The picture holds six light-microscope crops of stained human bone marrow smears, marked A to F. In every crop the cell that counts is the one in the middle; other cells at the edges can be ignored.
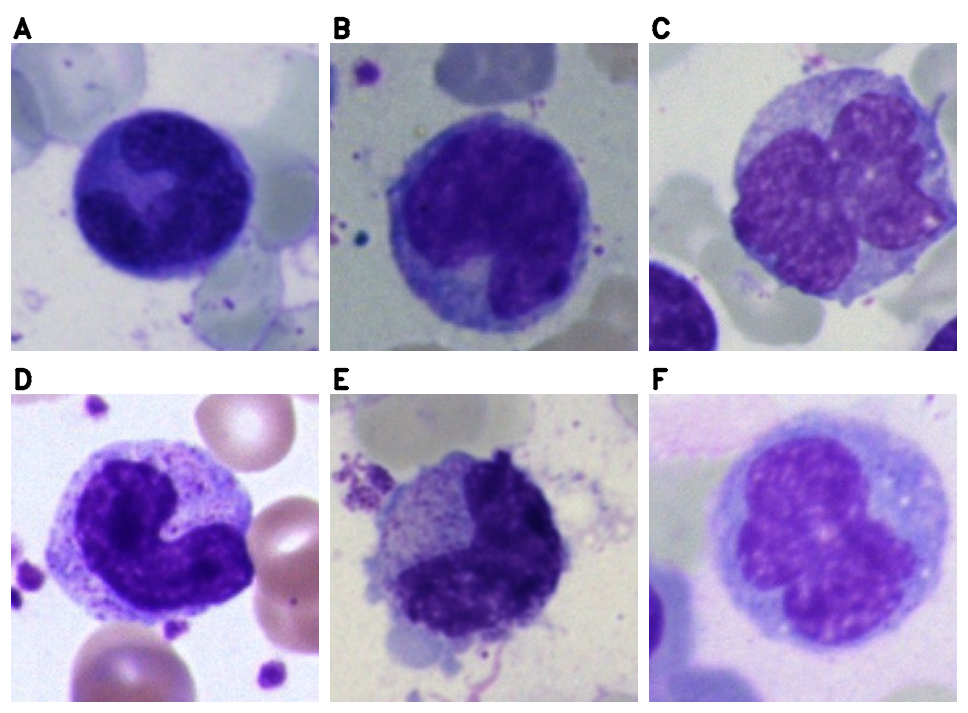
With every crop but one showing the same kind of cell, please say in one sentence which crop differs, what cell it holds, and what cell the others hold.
Among these crops, monocytes occur in all but crop D, which contains a band neutrophil.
